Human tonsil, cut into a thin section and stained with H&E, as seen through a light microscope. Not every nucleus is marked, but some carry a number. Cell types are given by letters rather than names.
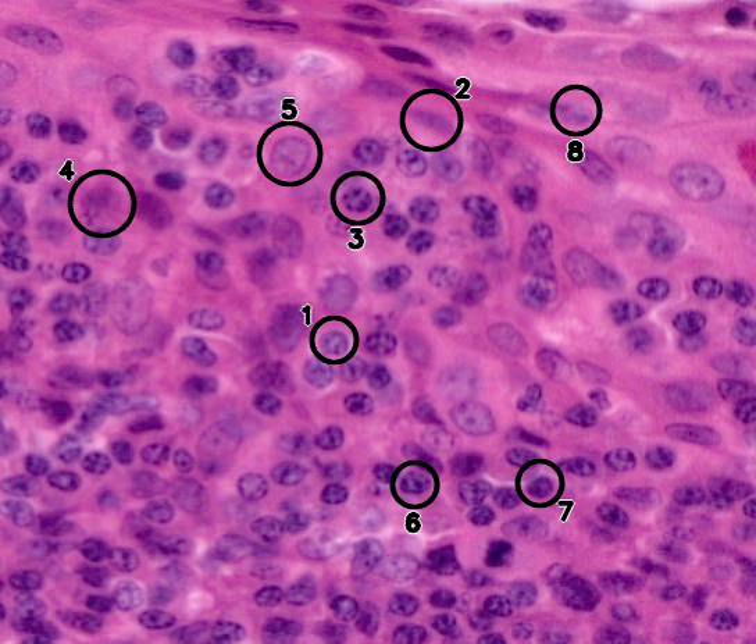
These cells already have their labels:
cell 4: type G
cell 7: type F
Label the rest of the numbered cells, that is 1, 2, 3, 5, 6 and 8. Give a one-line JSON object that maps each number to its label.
{"1": "type G", "2": "type G", "3": "type F", "5": "type G", "6": "type F", "8": "type G"}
